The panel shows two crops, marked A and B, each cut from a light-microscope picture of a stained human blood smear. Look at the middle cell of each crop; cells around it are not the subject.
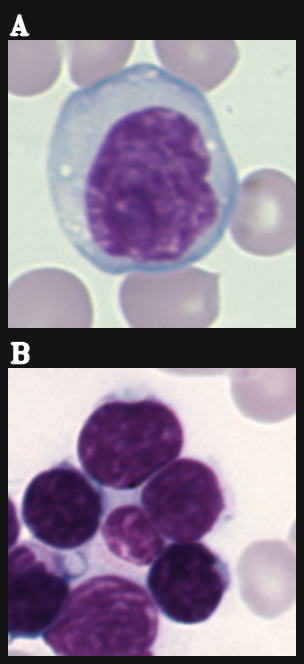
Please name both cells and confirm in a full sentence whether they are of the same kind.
Yes, myeloblasts are centred in both crops.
